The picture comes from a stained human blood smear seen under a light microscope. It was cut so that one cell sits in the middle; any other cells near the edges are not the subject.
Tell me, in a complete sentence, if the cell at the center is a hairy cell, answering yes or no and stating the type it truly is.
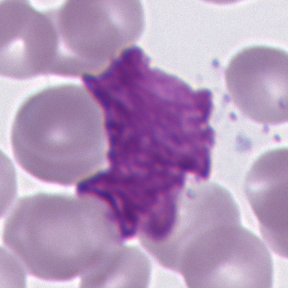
No, the middle of this crop is occupied by a smudge cell rather than a hairy cell.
